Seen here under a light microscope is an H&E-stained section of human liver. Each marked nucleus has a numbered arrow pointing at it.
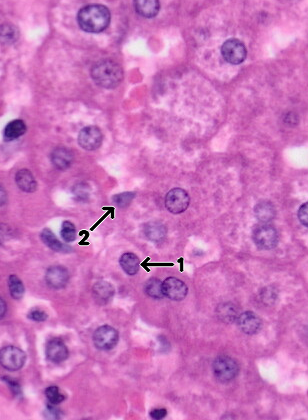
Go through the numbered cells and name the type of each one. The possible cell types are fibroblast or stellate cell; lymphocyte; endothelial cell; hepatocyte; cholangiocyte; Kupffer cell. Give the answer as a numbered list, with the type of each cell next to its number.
1. hepatocyte
2. endothelial cell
